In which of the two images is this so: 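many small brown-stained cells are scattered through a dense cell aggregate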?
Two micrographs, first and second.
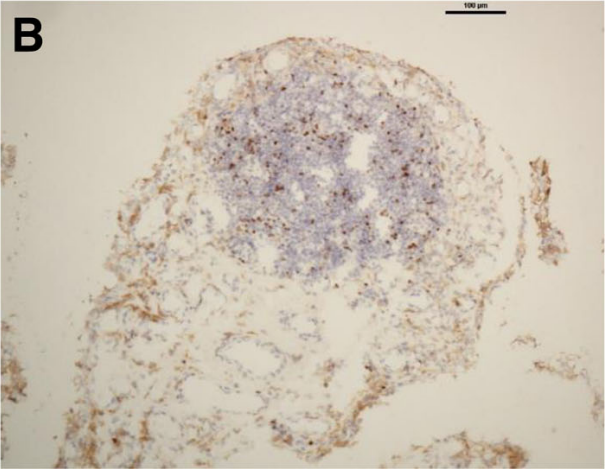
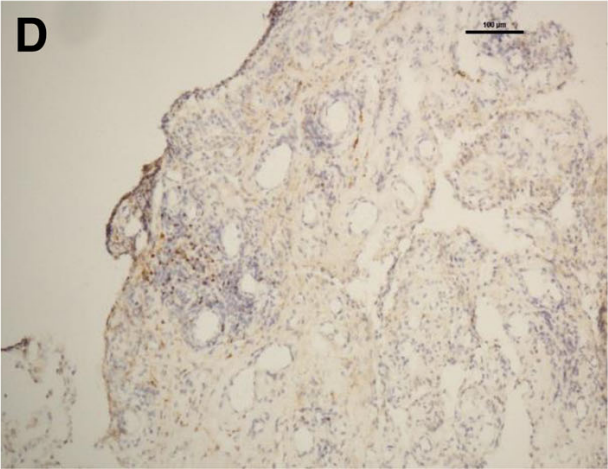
The first image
